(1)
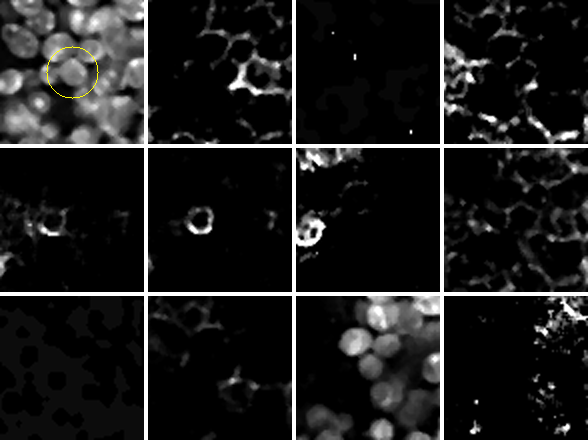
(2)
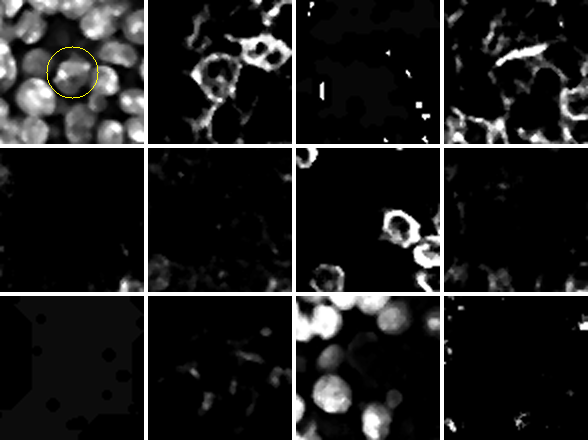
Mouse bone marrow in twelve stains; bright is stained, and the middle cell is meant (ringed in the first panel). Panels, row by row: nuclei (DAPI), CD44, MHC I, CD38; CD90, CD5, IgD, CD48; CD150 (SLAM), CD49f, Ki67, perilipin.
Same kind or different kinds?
Different: the first is an erythroblast, the second a neutrophil.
